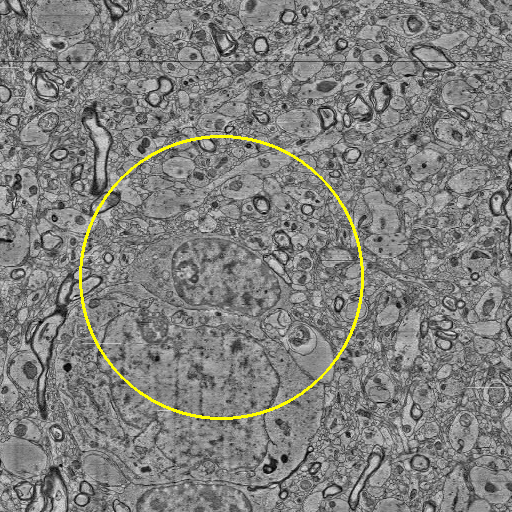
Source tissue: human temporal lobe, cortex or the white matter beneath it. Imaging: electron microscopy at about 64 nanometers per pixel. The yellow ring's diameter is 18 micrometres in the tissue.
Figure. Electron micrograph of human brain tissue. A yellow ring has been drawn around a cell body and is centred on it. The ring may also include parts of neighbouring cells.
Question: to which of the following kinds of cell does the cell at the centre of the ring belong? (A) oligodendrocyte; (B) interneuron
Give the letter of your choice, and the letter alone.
A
